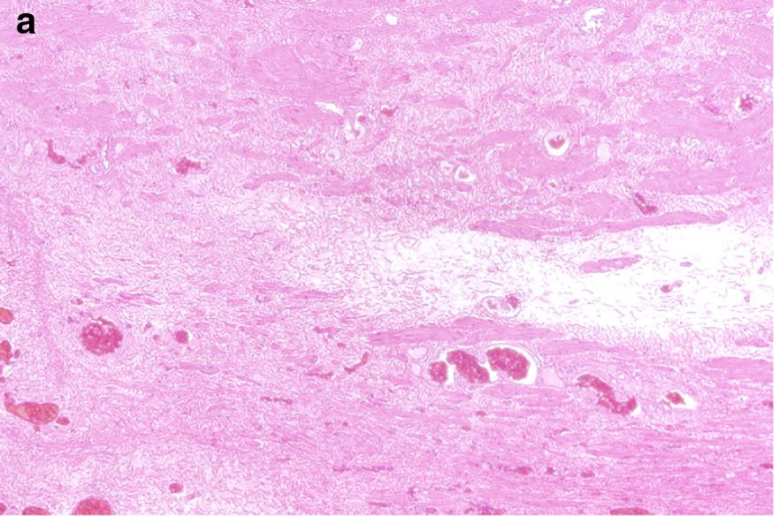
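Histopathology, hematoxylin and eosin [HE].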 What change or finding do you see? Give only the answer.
Congestion.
